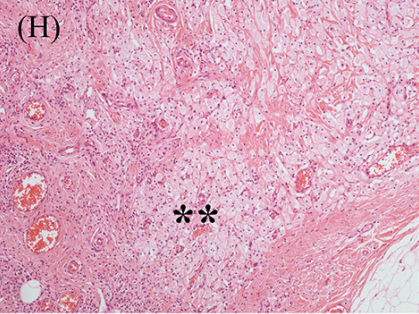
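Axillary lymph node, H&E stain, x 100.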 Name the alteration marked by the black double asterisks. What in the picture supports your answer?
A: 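Histiocytic infiltrations. Sheets of cells with abundant pale, foamy cytoplasm and small nuclei. Congested blood vessels lie among them.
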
